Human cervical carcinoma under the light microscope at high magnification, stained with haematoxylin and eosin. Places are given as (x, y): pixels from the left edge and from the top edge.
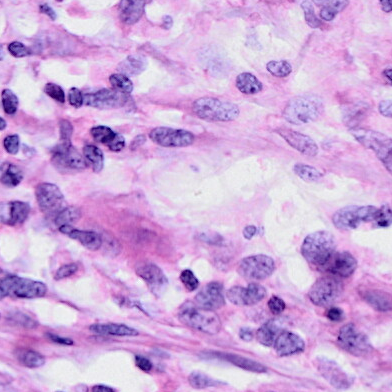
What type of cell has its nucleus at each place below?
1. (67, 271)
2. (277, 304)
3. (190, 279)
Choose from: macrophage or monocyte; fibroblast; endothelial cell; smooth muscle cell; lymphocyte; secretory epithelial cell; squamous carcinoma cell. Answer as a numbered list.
1. macrophage or monocyte
2. lymphocyte
3. lymphocyte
